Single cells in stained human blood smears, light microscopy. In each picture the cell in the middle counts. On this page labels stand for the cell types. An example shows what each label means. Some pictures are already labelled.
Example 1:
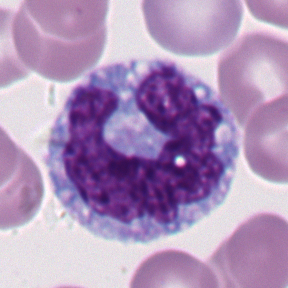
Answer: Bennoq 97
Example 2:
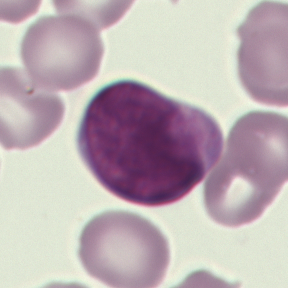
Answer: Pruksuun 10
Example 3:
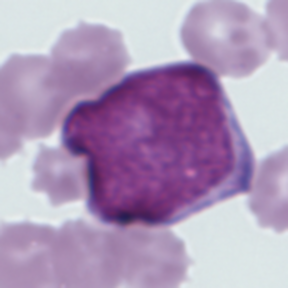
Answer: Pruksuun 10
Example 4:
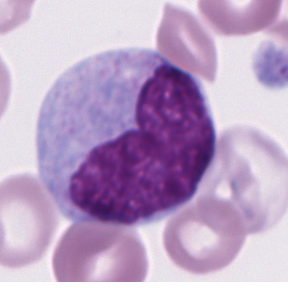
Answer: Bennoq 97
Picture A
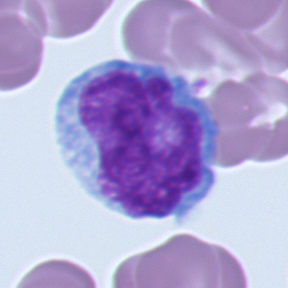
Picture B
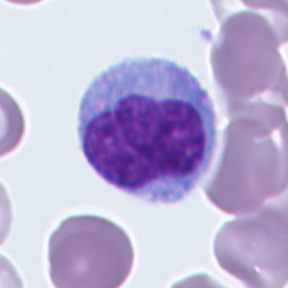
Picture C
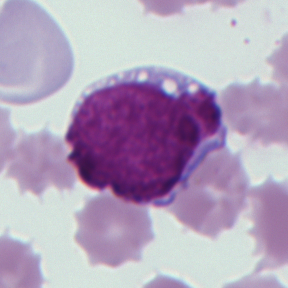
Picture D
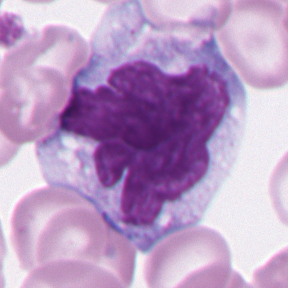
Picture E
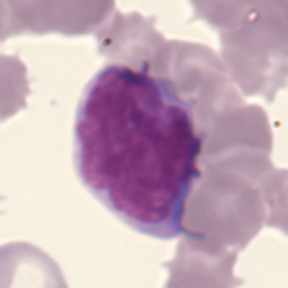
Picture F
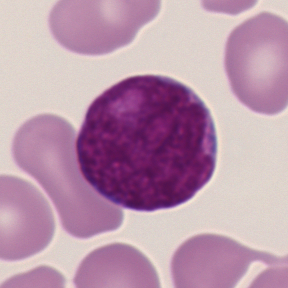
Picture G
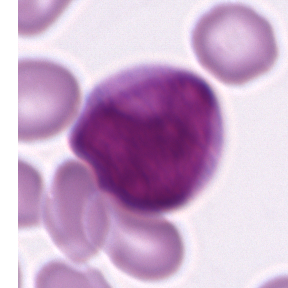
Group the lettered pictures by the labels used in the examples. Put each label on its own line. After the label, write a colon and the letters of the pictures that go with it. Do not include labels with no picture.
Bennoq 97: A, B, D
Pruksuun 10: C, E, F, G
